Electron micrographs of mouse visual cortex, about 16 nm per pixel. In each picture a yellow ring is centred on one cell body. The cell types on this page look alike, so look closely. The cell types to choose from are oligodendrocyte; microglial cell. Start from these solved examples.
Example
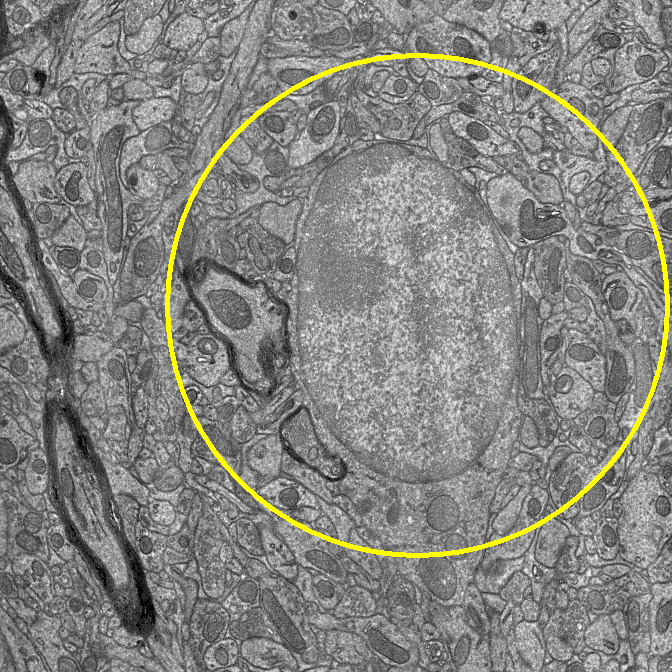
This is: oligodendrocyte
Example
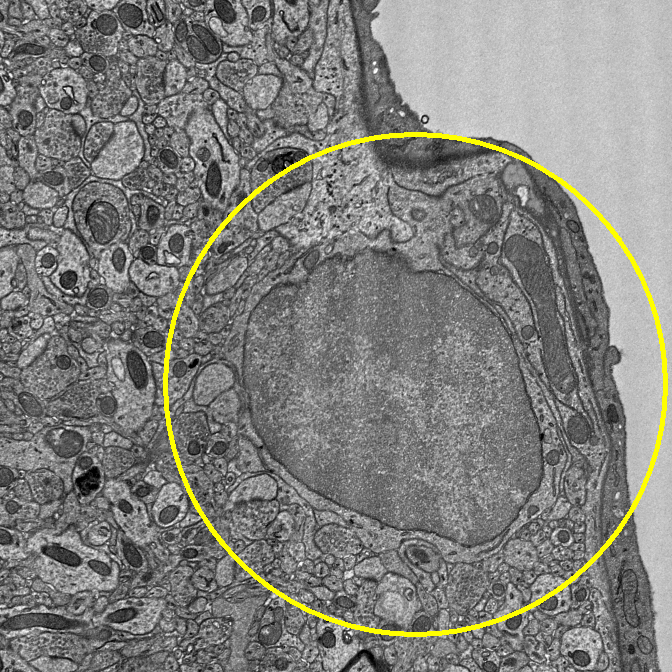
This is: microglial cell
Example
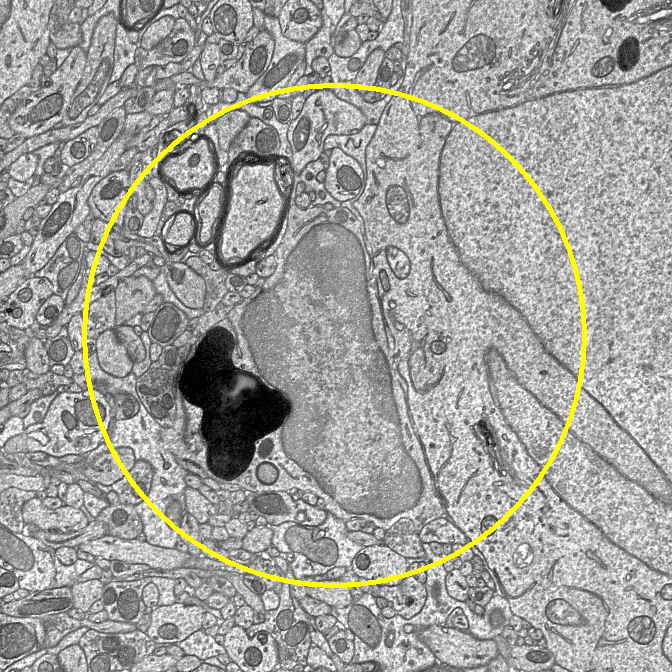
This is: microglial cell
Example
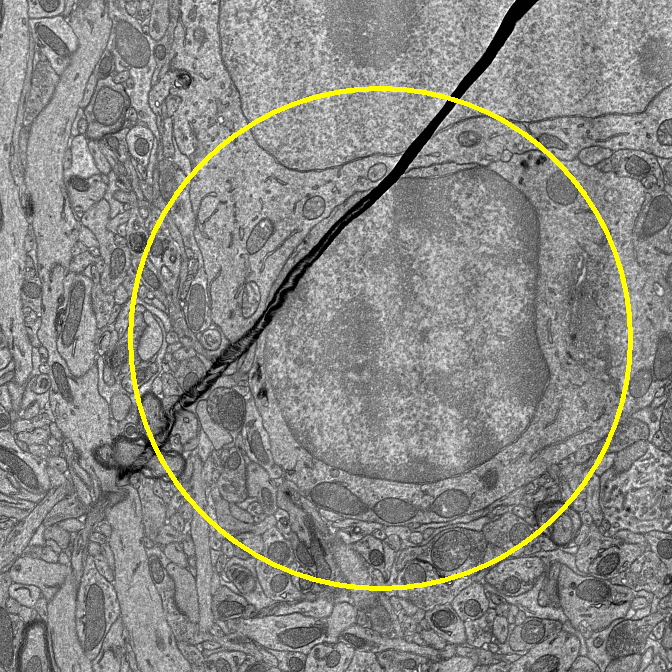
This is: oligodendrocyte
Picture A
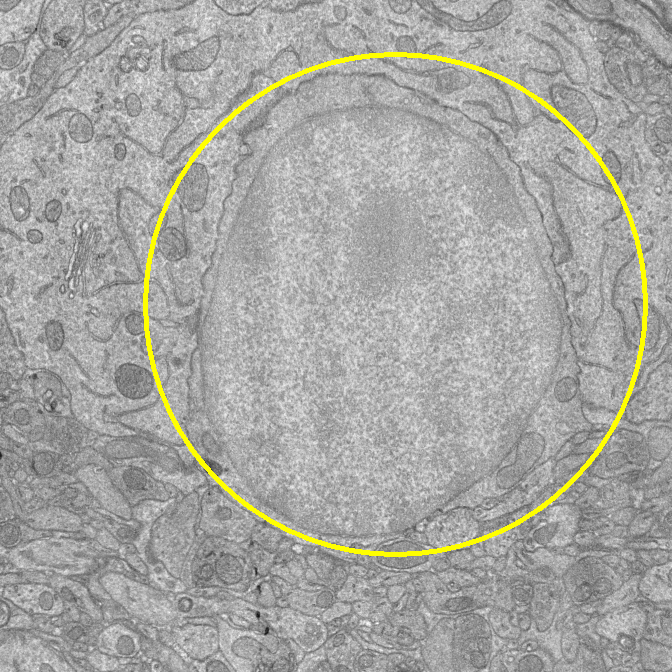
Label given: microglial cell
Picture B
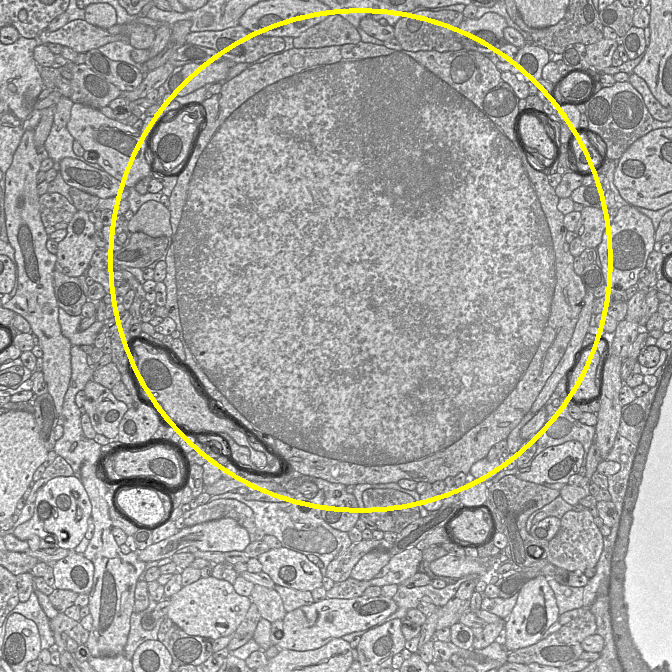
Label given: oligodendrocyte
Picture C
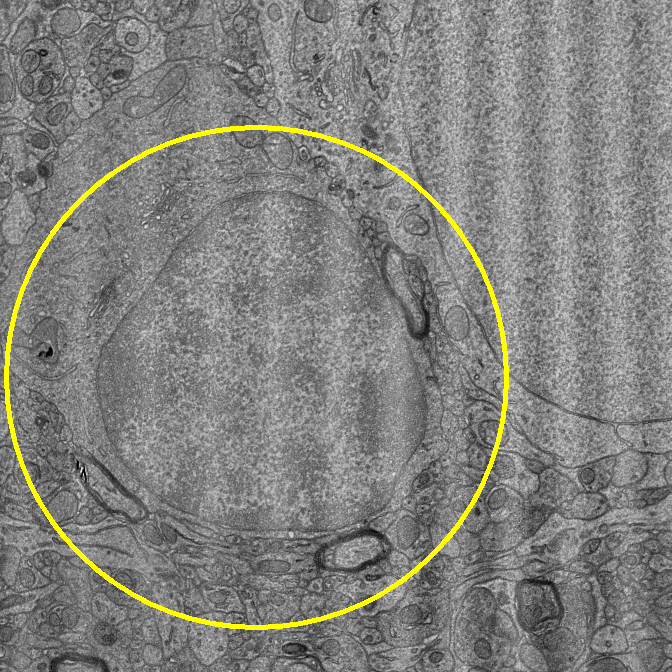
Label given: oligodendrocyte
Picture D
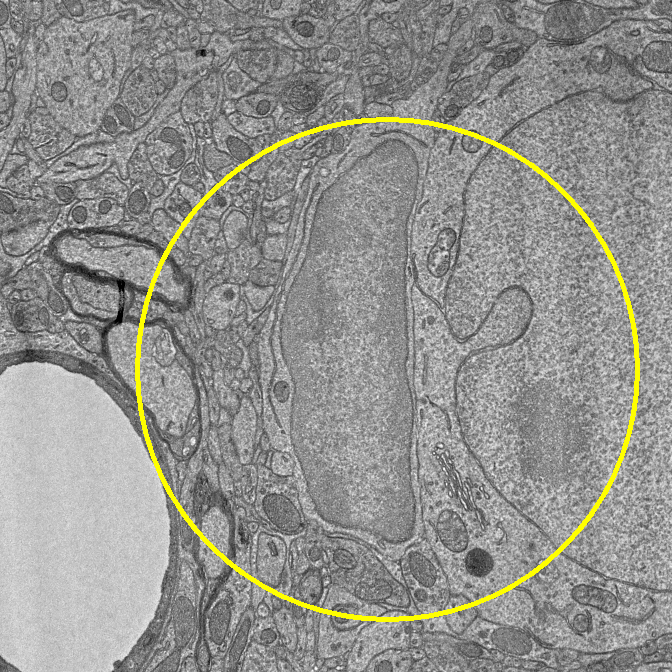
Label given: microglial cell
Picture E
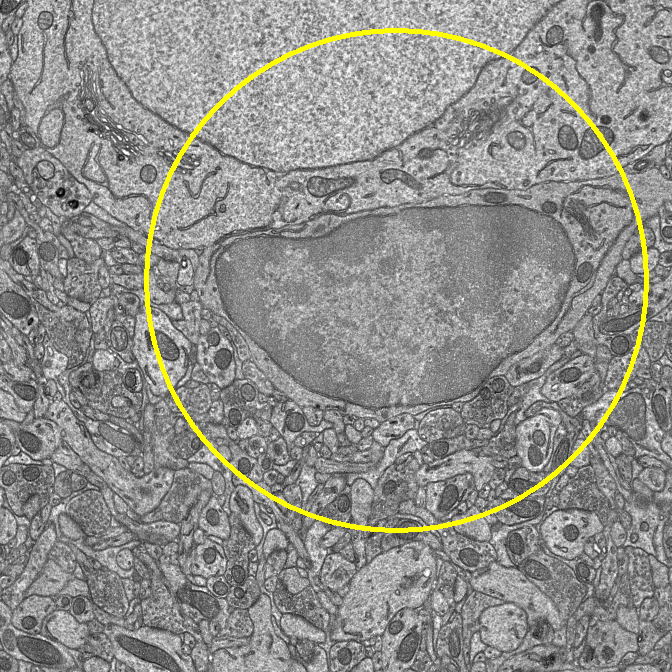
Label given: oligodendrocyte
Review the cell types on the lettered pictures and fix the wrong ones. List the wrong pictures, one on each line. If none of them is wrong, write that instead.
A should be oligodendrocyte, not microglial cell
E should be microglial cell, not oligodendrocyte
